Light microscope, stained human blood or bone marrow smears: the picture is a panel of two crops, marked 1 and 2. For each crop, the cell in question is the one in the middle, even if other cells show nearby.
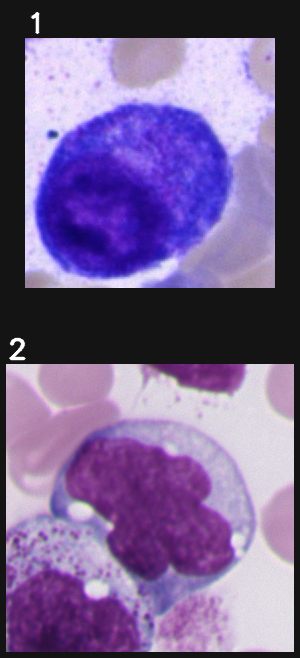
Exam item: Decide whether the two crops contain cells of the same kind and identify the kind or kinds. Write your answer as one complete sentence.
No, crop 1 depicts a promyelocyte, and crop 2 depicts a monocyte.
